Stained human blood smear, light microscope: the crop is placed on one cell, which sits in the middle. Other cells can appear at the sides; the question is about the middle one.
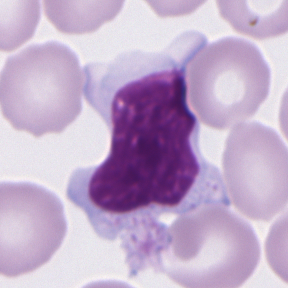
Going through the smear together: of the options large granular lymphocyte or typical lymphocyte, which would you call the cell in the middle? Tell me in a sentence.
For this crop, the central cell is a large granular lymphocyte.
